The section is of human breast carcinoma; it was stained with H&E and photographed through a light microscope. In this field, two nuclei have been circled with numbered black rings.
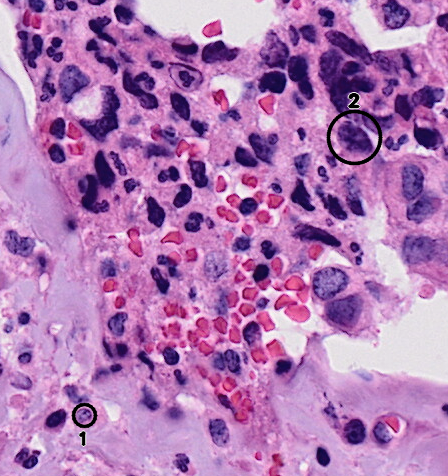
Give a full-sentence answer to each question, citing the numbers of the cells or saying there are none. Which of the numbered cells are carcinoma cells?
Cell 2 stands alone among the numbered cells as a carcinoma cell.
